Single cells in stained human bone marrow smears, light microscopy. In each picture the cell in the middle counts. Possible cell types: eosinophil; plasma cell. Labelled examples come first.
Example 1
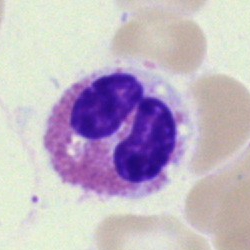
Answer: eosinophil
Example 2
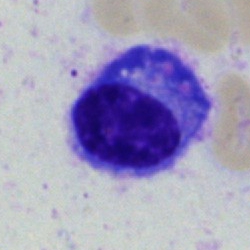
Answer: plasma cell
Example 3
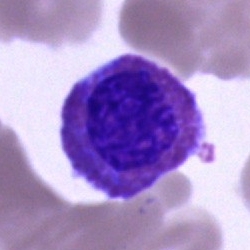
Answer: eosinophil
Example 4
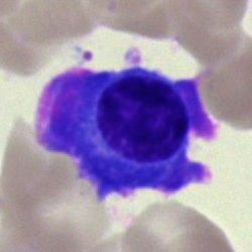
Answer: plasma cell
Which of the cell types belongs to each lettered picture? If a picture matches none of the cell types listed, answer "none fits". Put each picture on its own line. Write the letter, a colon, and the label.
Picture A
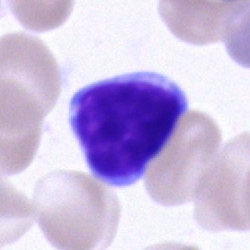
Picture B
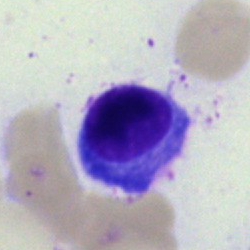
A: none fits
B: plasma cell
